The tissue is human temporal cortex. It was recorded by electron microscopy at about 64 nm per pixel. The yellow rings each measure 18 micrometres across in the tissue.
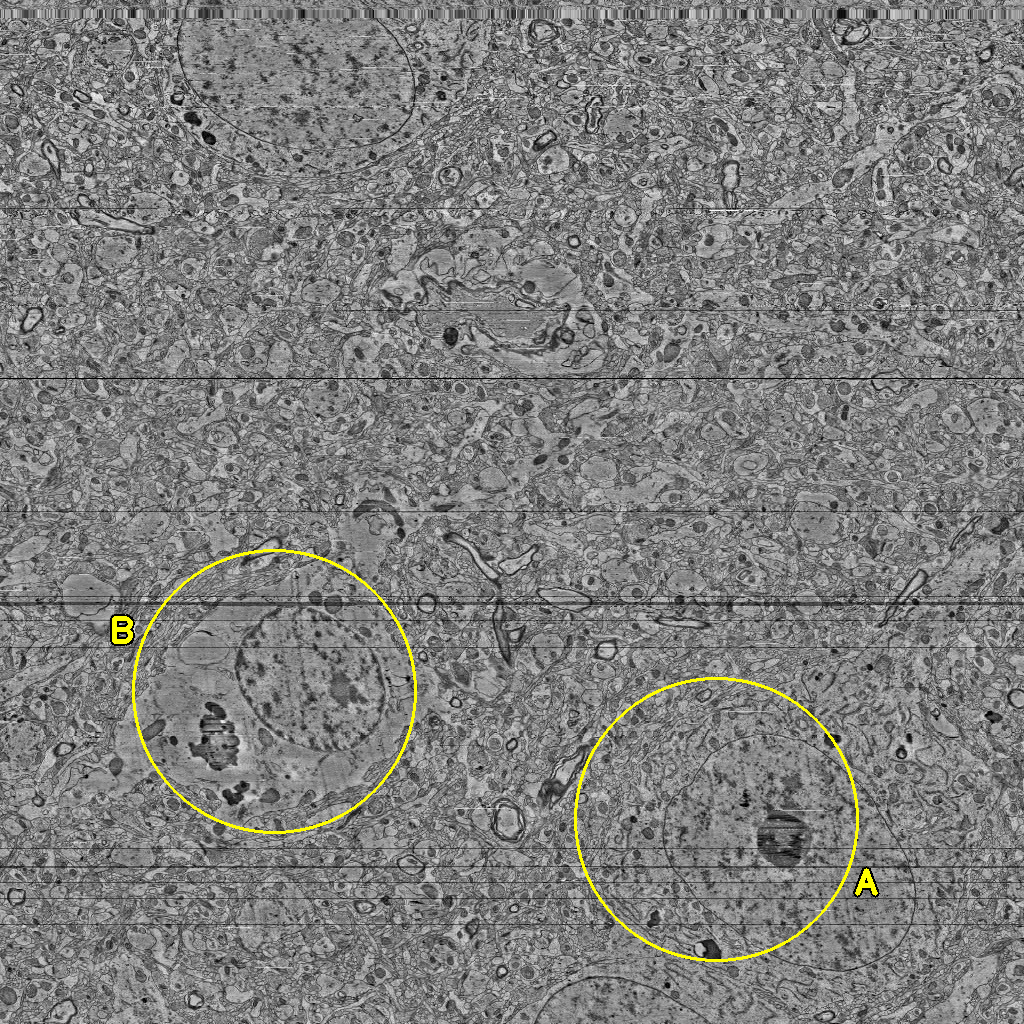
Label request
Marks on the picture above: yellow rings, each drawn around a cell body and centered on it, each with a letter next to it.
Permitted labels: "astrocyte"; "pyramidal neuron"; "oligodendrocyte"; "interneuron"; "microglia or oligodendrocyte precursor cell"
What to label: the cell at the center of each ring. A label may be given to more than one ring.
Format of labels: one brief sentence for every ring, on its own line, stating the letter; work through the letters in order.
The cell at the center of ring A is a pyramidal neuron.
The cell at the center of ring B is an astrocyte.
